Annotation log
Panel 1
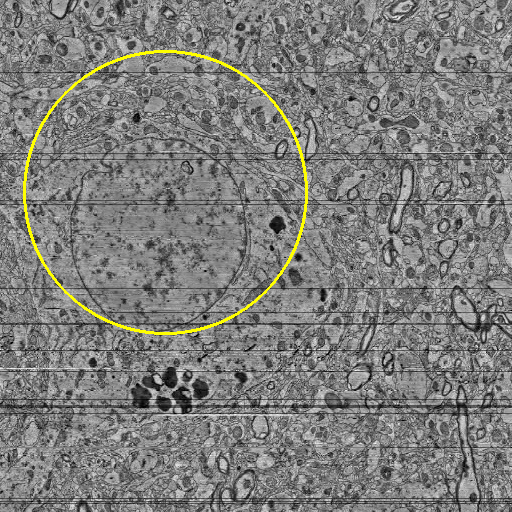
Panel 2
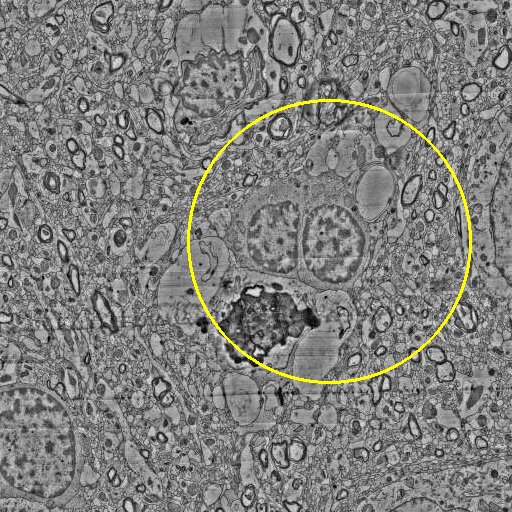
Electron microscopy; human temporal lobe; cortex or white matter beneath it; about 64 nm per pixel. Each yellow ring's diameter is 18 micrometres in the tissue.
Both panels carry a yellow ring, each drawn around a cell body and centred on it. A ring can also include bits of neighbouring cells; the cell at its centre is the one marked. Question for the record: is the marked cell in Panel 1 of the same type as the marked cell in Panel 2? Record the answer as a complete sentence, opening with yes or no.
No, the marked cells in Panel 1 and Panel 2 are of two types.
